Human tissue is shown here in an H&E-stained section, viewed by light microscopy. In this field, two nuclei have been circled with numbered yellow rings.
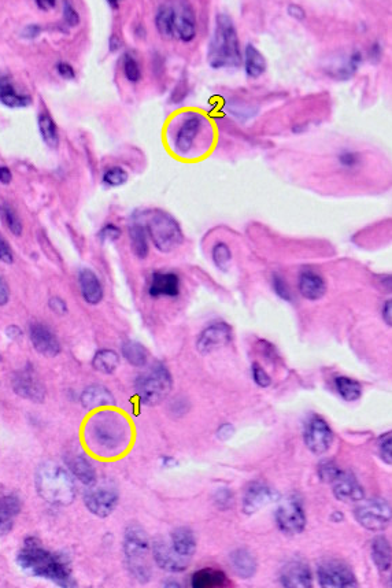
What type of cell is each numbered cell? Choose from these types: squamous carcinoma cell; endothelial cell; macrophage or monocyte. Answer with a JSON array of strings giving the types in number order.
["squamous carcinoma cell", "macrophage or monocyte"]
